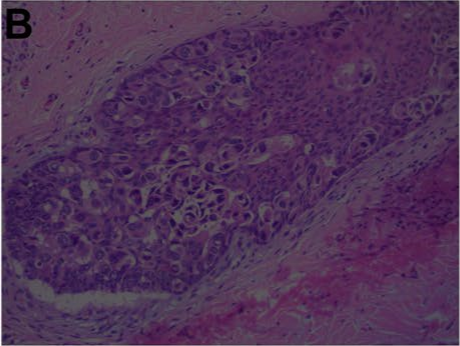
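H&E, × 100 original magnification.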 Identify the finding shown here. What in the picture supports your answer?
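Nuclei in the cell nest differ markedly in size and shape. Nuclei are dark and irregular. That points to this answer: pleomorphic nuclei.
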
